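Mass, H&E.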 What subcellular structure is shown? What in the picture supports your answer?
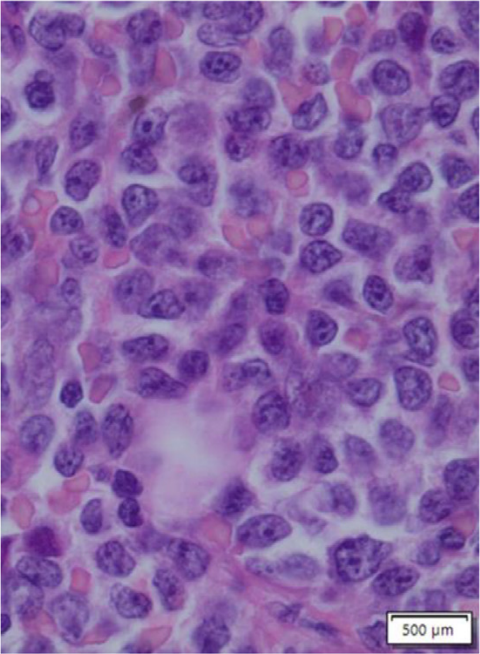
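Several nuclei contain a small dark dot within pale chromatin.
Answer: nucleolus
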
